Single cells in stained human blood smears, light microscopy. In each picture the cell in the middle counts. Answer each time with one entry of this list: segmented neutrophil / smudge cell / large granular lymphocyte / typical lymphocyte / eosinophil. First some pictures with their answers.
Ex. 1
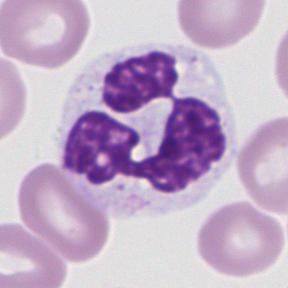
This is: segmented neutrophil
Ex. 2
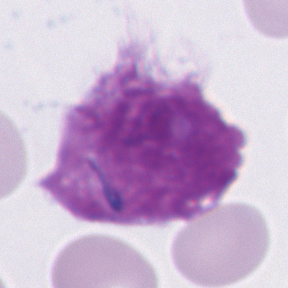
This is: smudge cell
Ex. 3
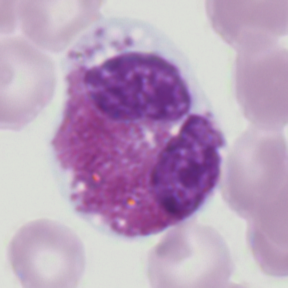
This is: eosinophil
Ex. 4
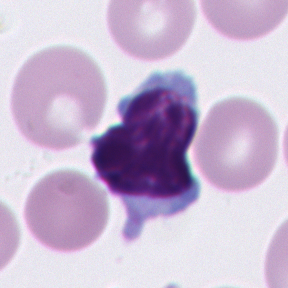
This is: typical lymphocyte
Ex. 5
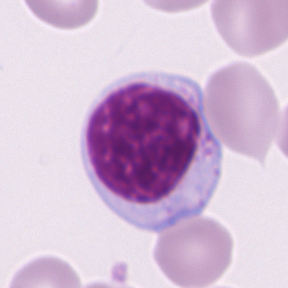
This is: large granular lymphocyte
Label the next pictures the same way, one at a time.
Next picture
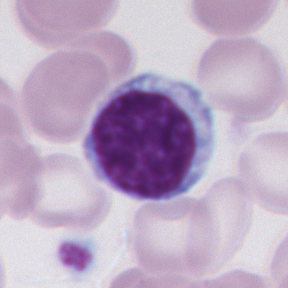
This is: typical lymphocyte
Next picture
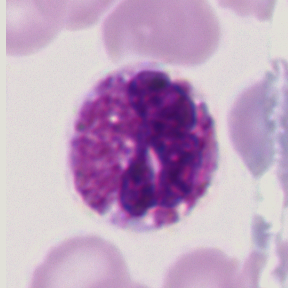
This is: eosinophil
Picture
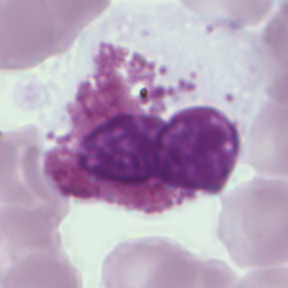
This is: eosinophil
